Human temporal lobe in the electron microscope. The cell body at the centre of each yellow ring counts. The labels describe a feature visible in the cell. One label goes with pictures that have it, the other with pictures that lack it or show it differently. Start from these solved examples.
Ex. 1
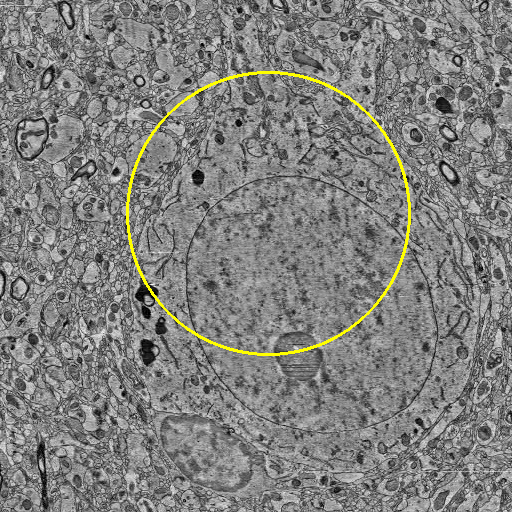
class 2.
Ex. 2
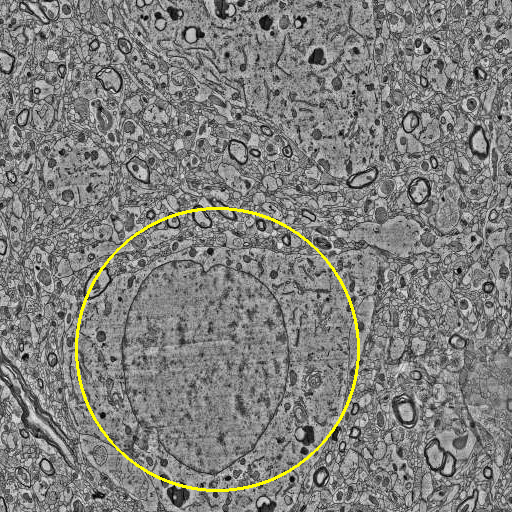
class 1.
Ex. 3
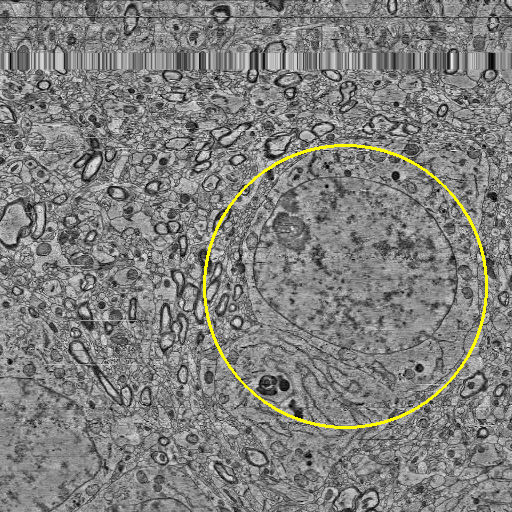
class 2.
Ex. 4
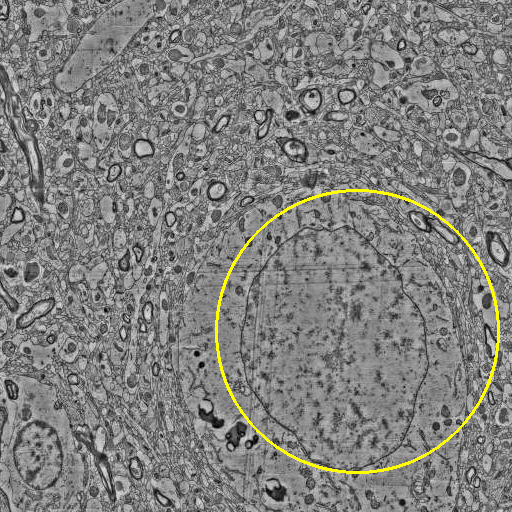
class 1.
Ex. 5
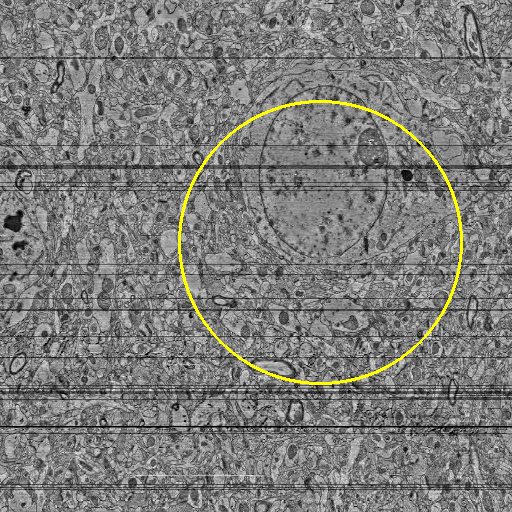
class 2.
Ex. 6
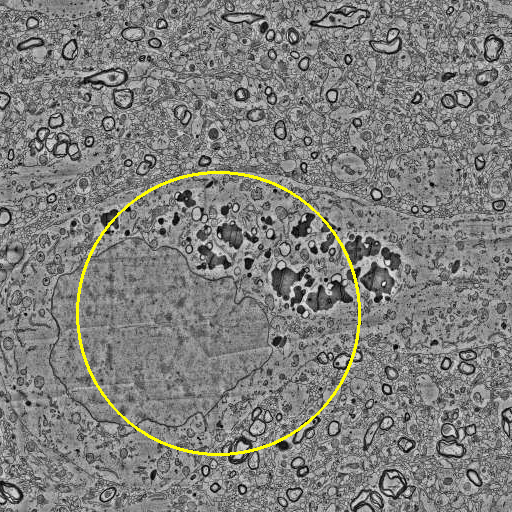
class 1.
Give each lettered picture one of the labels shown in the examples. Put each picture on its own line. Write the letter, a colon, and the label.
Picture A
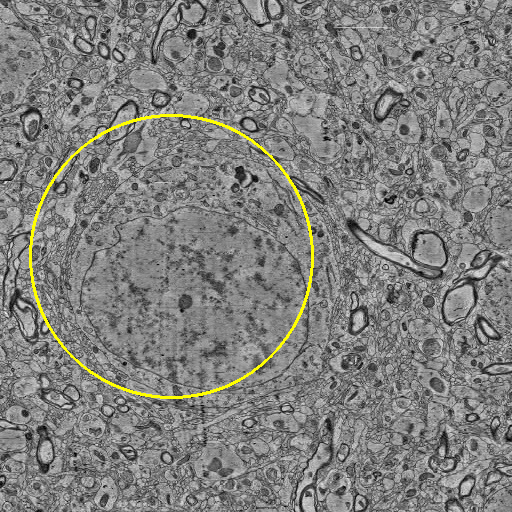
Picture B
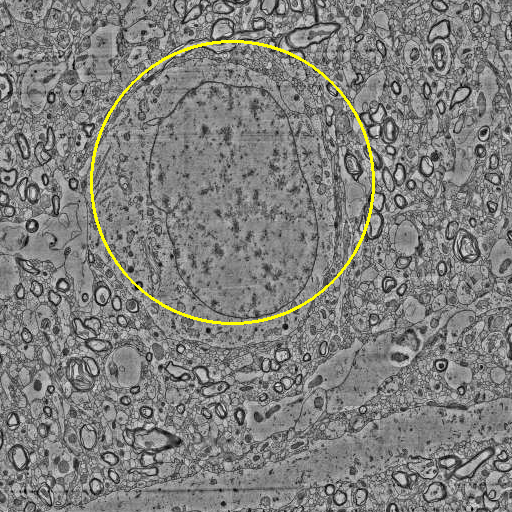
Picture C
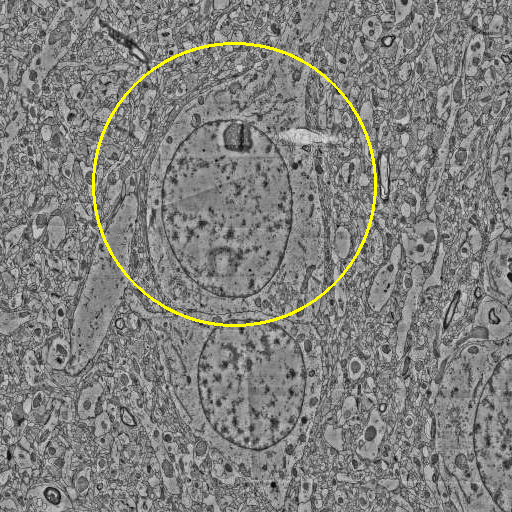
A: class 2.
B: class 1.
C: class 2.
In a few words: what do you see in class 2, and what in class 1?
In class 2: nucleolus seen. In class 1: no nucleolus seen.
